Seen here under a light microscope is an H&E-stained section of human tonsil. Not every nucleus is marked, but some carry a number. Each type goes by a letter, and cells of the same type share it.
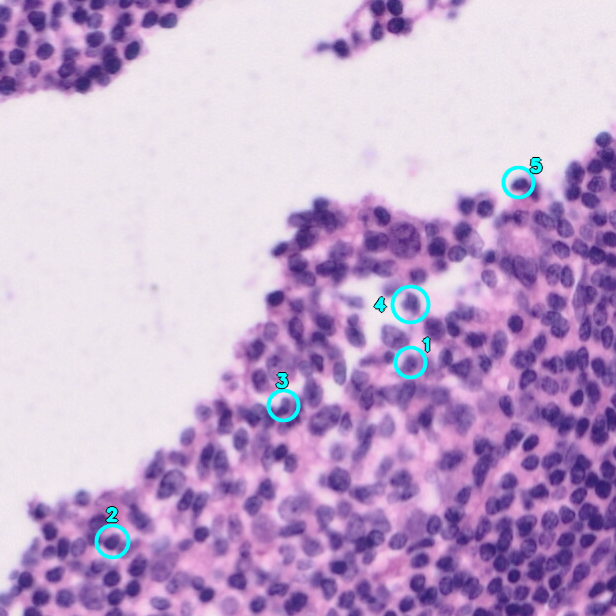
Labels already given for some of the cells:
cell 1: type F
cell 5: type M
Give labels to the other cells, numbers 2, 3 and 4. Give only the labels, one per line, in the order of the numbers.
type M
type F
type F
